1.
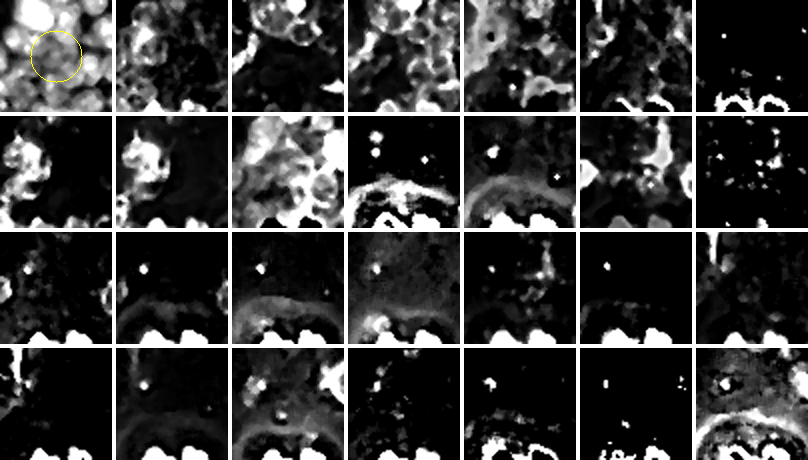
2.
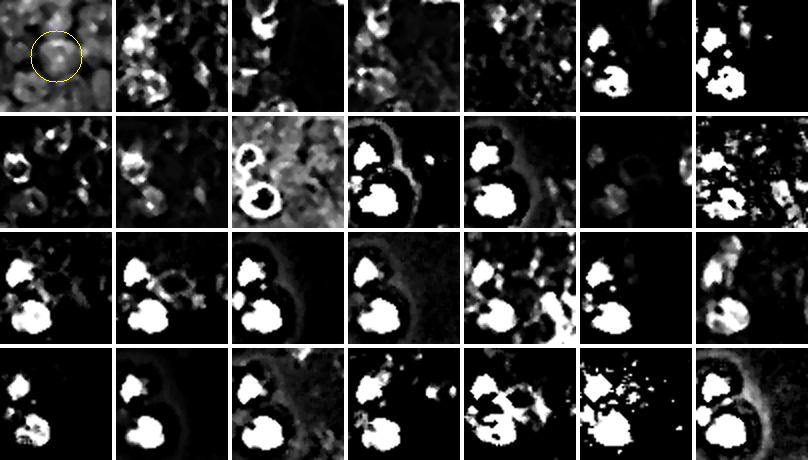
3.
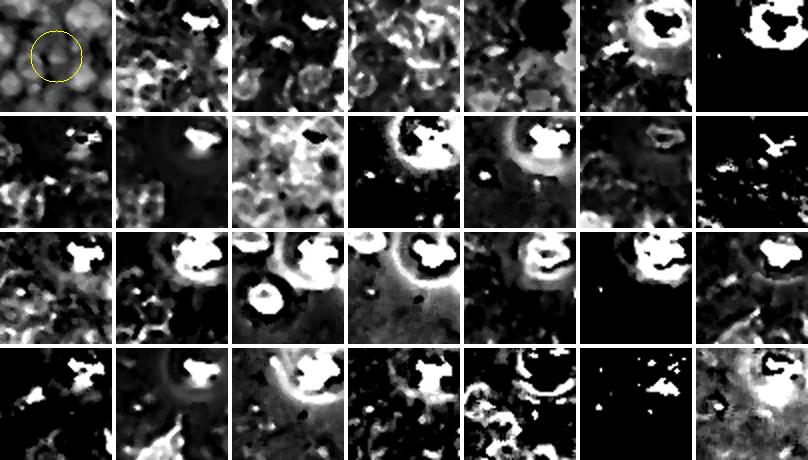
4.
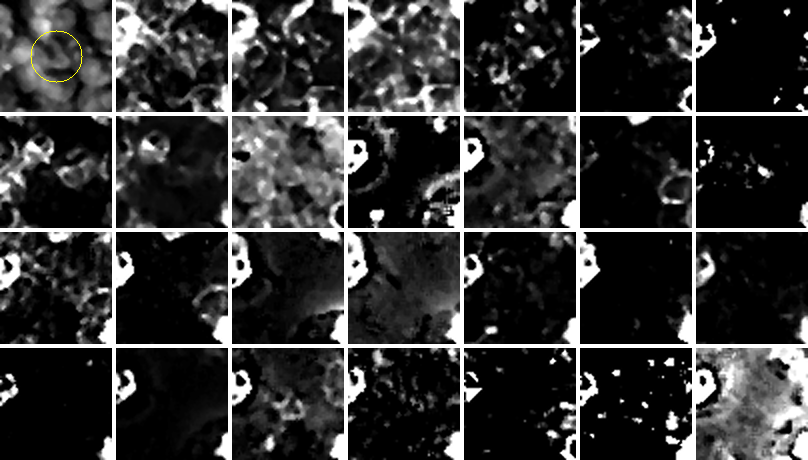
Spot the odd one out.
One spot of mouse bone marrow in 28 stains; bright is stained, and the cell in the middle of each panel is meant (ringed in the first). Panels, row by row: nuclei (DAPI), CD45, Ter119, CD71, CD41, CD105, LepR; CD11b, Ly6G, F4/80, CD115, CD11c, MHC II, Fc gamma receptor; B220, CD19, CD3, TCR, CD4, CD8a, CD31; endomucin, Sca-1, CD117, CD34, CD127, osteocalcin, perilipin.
Picture 2 (a common lymphoid progenitor among erythroid progenitors (CFU-E)).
